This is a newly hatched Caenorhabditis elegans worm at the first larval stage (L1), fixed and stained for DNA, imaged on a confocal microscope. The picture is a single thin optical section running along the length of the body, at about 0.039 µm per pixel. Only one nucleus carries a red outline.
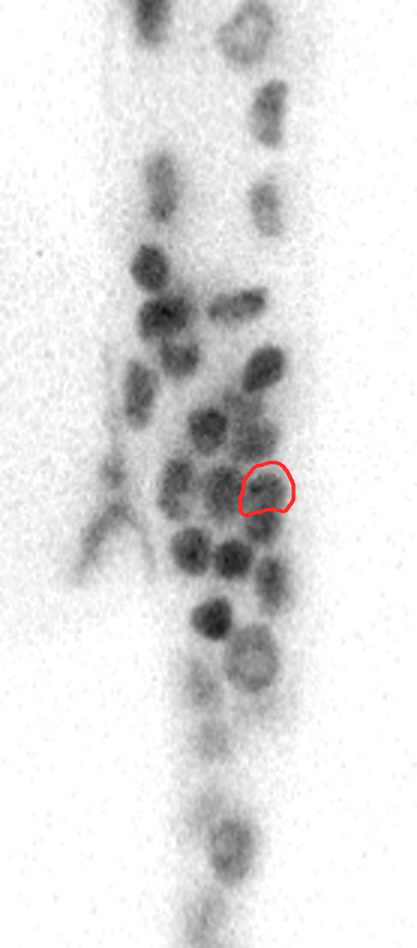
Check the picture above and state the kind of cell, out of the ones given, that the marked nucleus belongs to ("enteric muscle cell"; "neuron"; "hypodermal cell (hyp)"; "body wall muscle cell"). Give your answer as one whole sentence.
The marked nucleus belongs to an enteric muscle cell.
